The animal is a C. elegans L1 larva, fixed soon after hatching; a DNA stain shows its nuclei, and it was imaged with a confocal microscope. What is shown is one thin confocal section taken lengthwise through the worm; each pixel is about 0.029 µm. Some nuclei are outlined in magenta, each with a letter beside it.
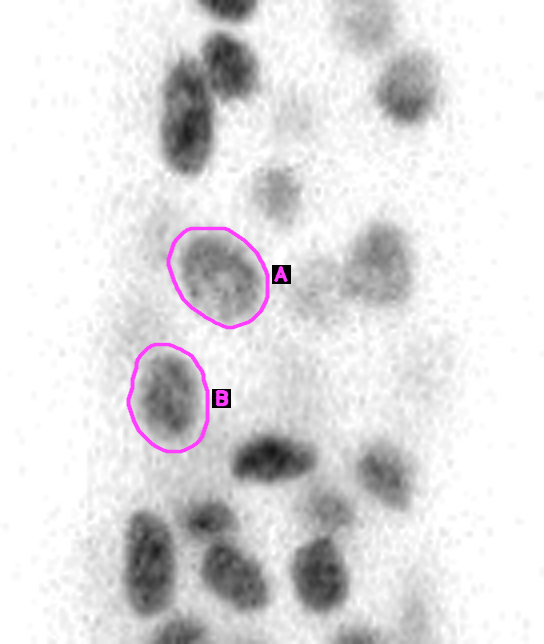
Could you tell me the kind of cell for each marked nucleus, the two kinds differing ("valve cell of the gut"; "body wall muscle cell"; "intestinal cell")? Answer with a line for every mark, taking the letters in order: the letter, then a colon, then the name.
A: intestinal cell
B: body wall muscle cell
